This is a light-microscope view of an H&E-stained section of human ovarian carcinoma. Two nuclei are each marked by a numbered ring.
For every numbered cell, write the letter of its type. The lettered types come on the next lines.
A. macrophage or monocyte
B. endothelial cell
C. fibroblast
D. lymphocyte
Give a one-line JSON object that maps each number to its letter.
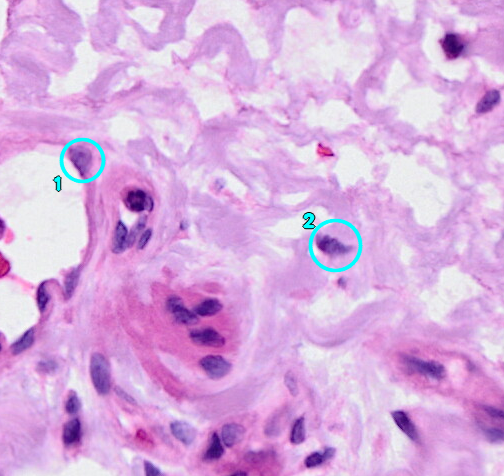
{"1": "B", "2": "C"}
